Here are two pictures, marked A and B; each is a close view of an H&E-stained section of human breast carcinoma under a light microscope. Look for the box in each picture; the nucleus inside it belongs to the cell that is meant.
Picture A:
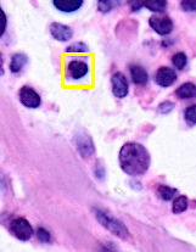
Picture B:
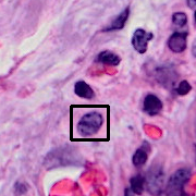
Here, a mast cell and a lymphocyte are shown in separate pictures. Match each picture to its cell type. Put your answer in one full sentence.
Picture B shows a mast cell, while picture A shows a lymphocyte.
